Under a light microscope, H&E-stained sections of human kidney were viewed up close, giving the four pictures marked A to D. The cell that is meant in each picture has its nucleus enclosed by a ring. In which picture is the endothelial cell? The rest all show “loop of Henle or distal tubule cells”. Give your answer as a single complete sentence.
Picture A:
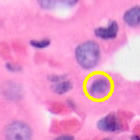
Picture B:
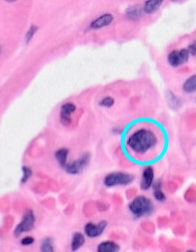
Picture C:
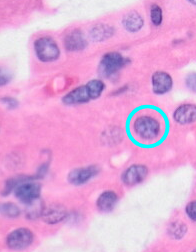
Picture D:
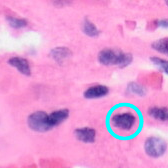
Picture B is the one that shows the endothelial cell.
